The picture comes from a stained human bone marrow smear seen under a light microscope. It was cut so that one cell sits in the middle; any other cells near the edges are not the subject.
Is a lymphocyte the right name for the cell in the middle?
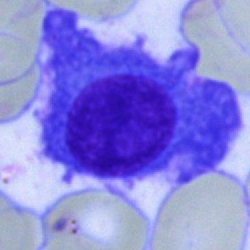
no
